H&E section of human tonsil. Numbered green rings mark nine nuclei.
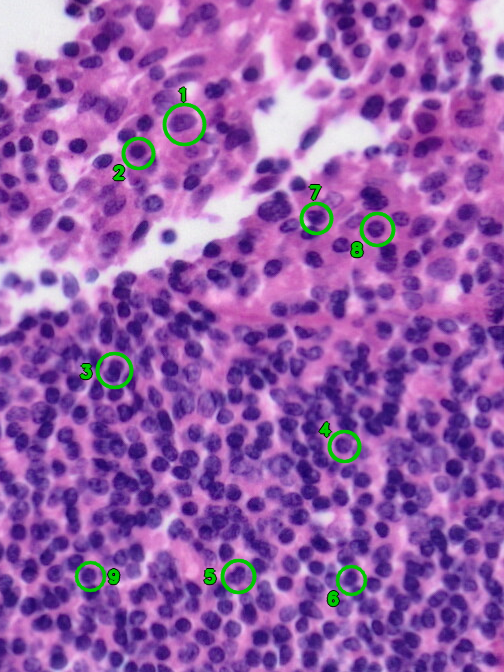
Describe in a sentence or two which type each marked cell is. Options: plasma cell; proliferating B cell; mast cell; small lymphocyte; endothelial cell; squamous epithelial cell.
Cell 1 is a squamous epithelial cell, cell 2 is a plasma cell, cell 3 is a small lymphocyte, cell 4 is a small lymphocyte, cell 5 is a small lymphocyte, cell 6 is a small lymphocyte, cell 7 is a plasma cell, cell 8 is a plasma cell and cell 9 is a small lymphocyte.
